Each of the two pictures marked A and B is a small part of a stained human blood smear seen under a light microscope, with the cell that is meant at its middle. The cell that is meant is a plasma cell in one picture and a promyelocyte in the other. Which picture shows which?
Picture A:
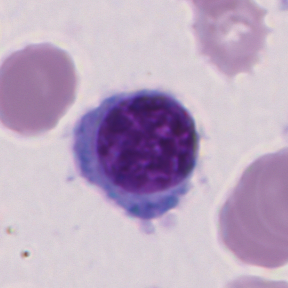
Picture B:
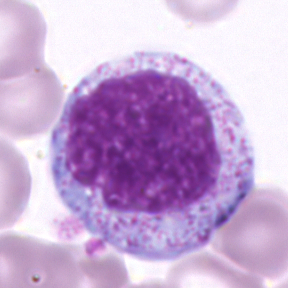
A: plasma cell
B: promyelocyte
